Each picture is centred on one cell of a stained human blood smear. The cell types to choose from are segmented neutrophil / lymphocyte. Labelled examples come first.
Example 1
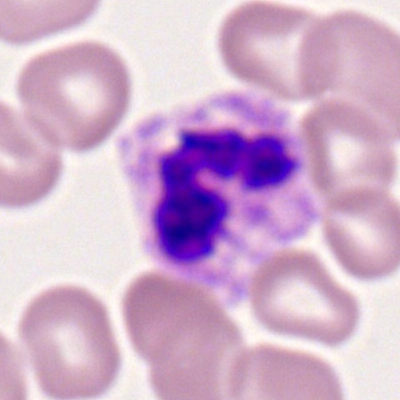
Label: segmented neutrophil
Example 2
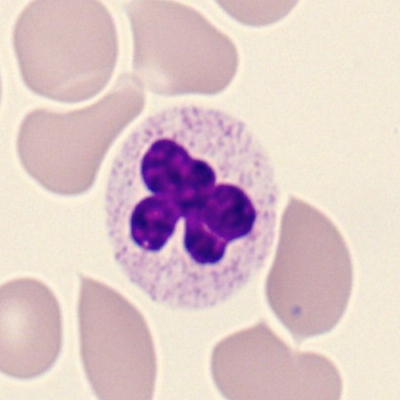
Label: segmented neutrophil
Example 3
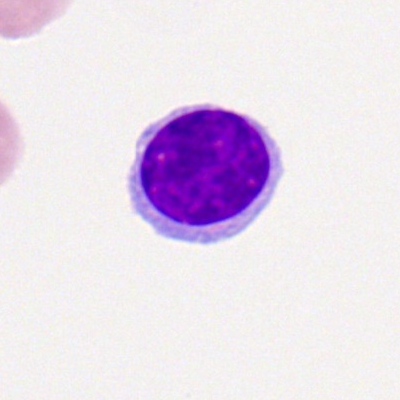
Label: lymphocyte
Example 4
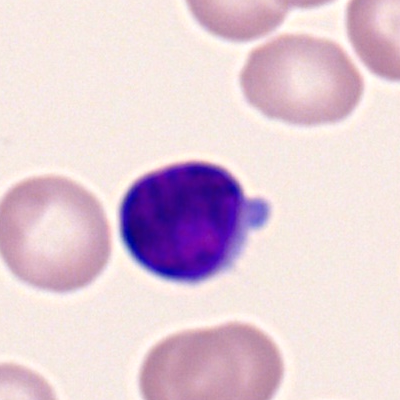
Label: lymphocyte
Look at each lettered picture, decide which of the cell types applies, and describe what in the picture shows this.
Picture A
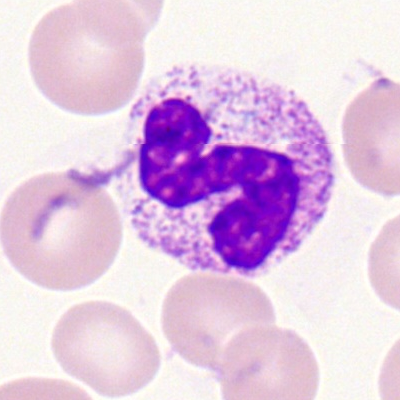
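Answer: segmented neutrophil. The nucleus has two lobes joined by a broad band.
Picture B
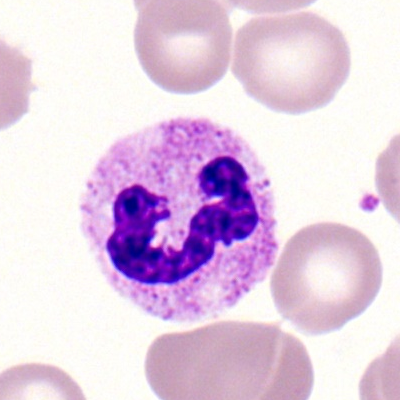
Answer: segmented neutrophil. The cytoplasm is abundant and pale pinkish-lilac.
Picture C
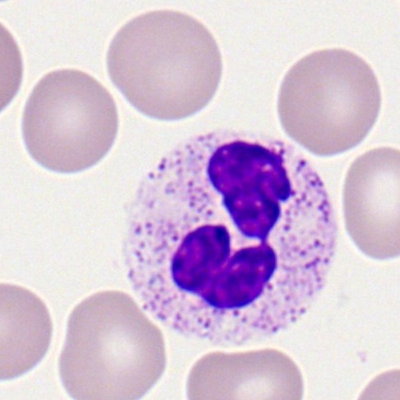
Answer: segmented neutrophil. The nucleus is divided into three lobes.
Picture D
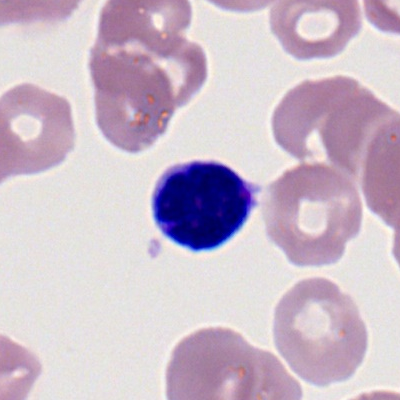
Answer: lymphocyte. The cytoplasm is scant, at most a thin rim around the nucleus.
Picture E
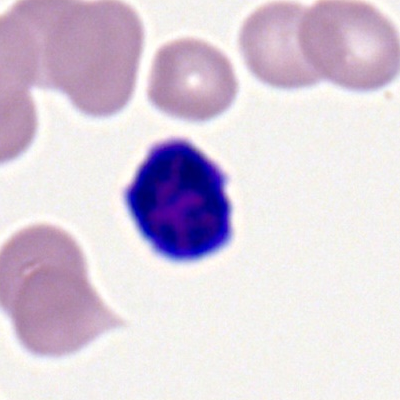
Answer: lymphocyte. The nucleus is a single unlobed mass filling almost the whole cell.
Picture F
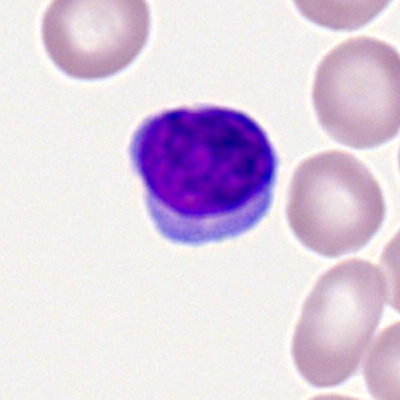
Answer: lymphocyte. The cytoplasm is a scant pale blue rim that is widest below the nucleus.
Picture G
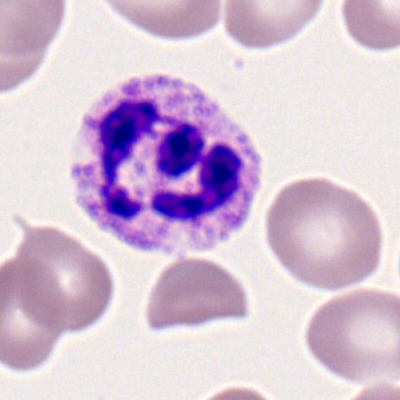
Answer: segmented neutrophil. The nucleus is divided into several separate lobes.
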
